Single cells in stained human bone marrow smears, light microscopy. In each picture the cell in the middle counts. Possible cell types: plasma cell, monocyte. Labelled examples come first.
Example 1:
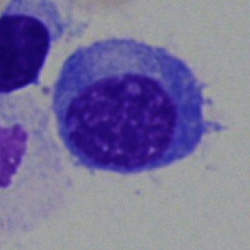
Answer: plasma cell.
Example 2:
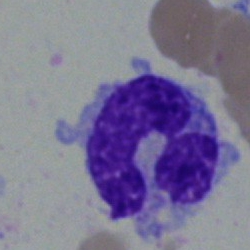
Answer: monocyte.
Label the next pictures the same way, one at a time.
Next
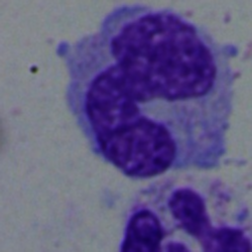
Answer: monocyte.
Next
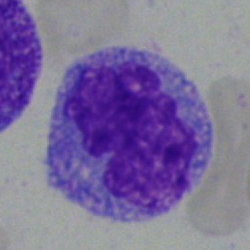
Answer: monocyte.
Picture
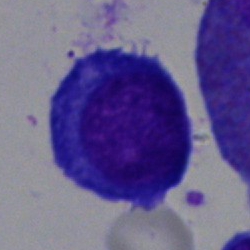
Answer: plasma cell.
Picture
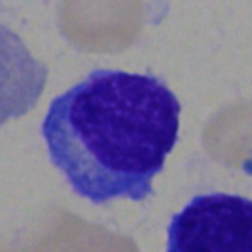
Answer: plasma cell.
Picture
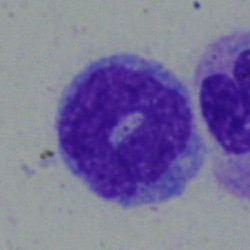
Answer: monocyte.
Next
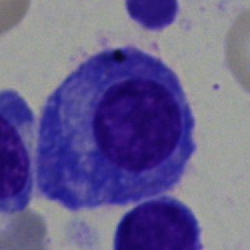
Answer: plasma cell.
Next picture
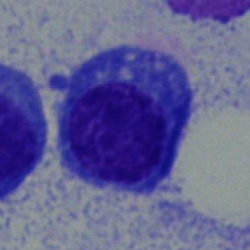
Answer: plasma cell.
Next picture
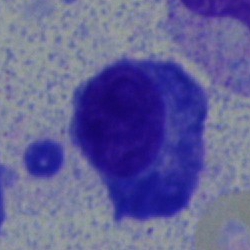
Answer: plasma cell.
